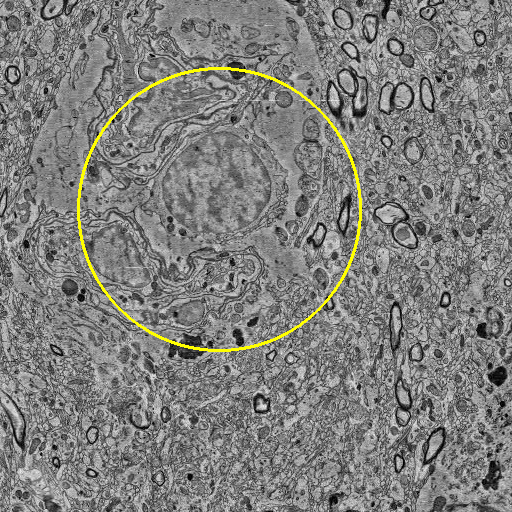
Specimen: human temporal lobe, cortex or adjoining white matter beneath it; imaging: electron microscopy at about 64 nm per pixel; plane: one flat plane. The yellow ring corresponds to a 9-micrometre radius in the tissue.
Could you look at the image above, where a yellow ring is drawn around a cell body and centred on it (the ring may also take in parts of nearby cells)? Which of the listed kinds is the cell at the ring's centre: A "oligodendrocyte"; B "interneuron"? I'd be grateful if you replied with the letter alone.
A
